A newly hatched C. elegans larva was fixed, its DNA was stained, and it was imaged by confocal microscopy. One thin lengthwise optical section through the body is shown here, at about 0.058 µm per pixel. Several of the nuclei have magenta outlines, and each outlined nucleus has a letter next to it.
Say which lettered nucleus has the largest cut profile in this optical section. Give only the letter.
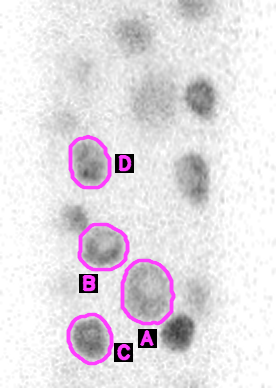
A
